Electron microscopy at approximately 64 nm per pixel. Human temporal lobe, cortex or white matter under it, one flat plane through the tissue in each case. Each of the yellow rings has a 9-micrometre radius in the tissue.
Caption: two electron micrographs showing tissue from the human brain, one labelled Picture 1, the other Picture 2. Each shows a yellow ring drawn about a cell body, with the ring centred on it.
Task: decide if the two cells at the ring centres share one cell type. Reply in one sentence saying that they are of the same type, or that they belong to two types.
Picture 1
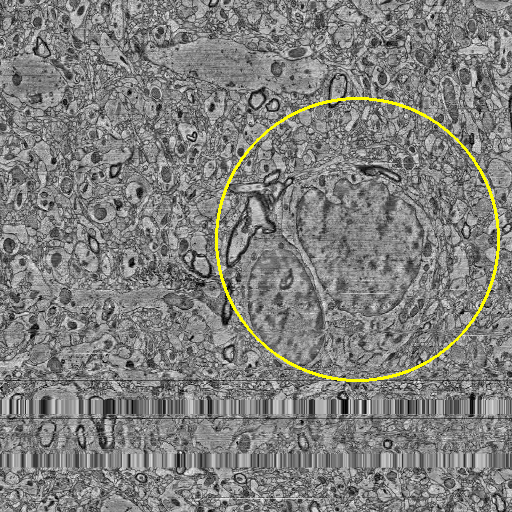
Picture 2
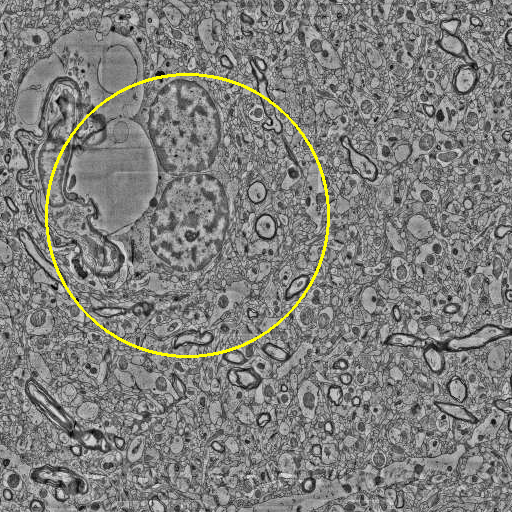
The cells at the ring centres in Picture 1 and Picture 2 belong to two types.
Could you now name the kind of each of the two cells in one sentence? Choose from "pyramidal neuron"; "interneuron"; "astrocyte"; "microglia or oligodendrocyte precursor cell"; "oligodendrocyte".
The first ring encloses an interneuron; the second ring encloses an oligodendrocyte.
